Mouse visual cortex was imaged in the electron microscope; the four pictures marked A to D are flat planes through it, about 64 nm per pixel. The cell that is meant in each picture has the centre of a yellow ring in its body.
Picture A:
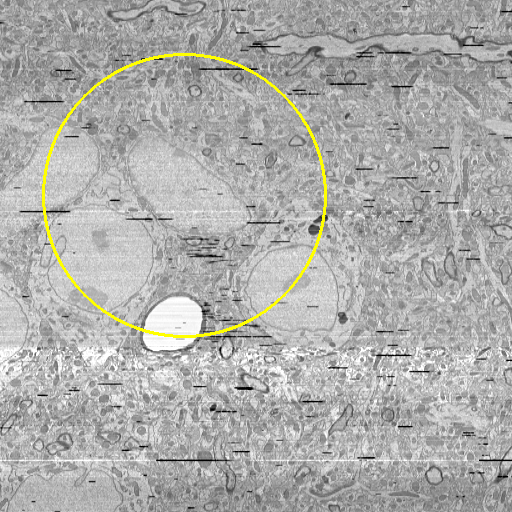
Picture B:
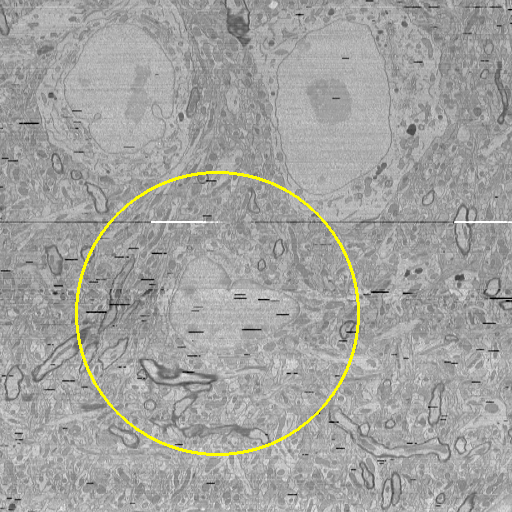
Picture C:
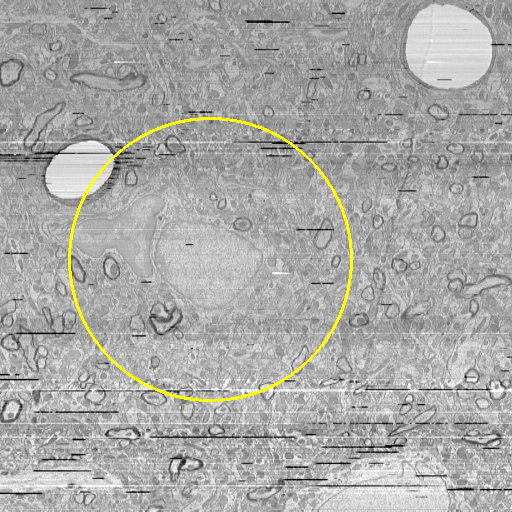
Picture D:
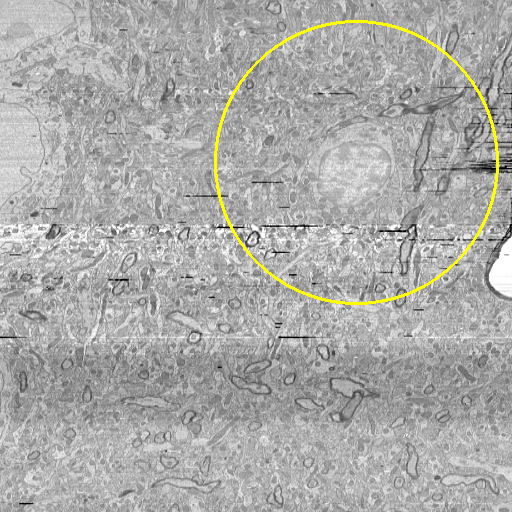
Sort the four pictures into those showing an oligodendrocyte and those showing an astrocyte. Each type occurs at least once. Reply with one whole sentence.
Picture D shows an oligodendrocyte, while pictures A, B and C show astrocytes.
